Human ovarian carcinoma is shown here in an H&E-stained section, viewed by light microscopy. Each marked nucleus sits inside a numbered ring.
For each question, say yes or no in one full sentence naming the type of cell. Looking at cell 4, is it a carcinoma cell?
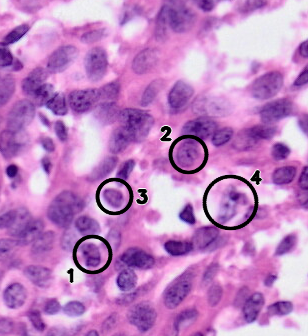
No, cell 4 does not count as a carcinoma cell; it is a macrophage or monocyte.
